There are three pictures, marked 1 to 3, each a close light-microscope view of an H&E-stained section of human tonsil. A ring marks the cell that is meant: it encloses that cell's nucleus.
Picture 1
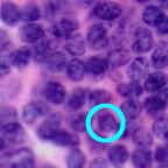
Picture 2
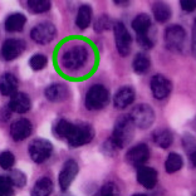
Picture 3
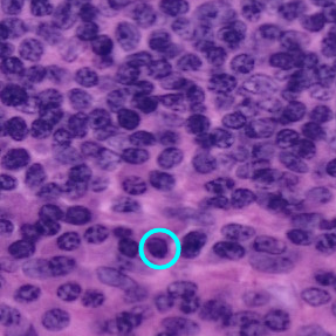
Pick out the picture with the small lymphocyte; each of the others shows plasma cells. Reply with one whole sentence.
It is picture 1 that shows the small lymphocyte.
